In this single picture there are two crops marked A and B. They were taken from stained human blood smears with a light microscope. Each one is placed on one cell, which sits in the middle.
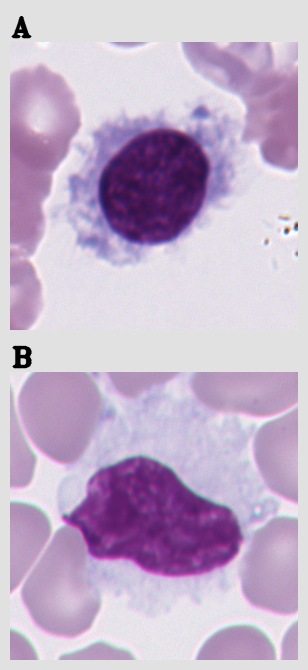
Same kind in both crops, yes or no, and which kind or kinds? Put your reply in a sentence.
Yes, the two crops show hairy cells at their centres.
